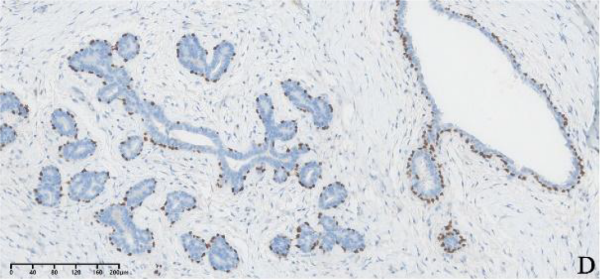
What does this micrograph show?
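Branching ducts and small glands lie in a loose, pale fibrous stroma, each lined by two layers of cells. The inner lining cells have blue, unstained nuclei and pale cytoplasm. The spindle-shaped stromal cells between the glands are also unstained.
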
